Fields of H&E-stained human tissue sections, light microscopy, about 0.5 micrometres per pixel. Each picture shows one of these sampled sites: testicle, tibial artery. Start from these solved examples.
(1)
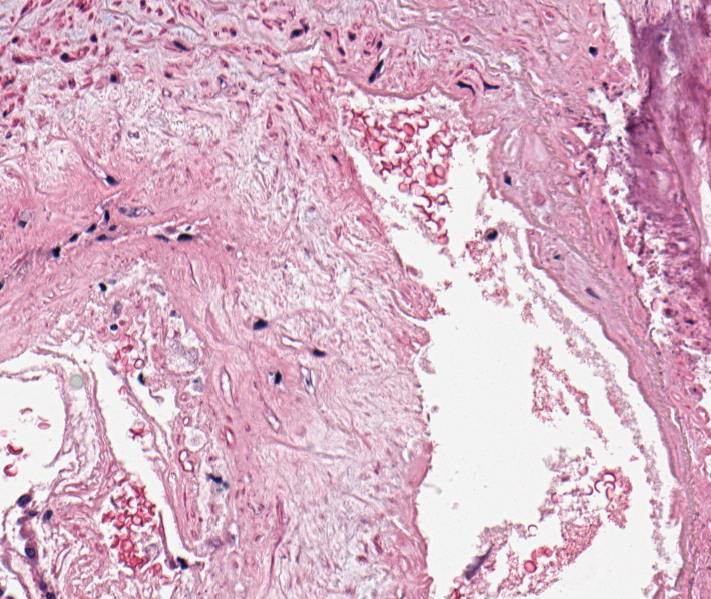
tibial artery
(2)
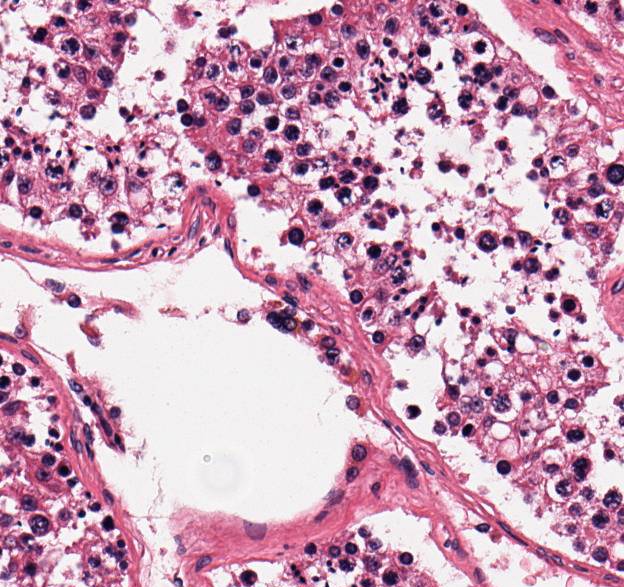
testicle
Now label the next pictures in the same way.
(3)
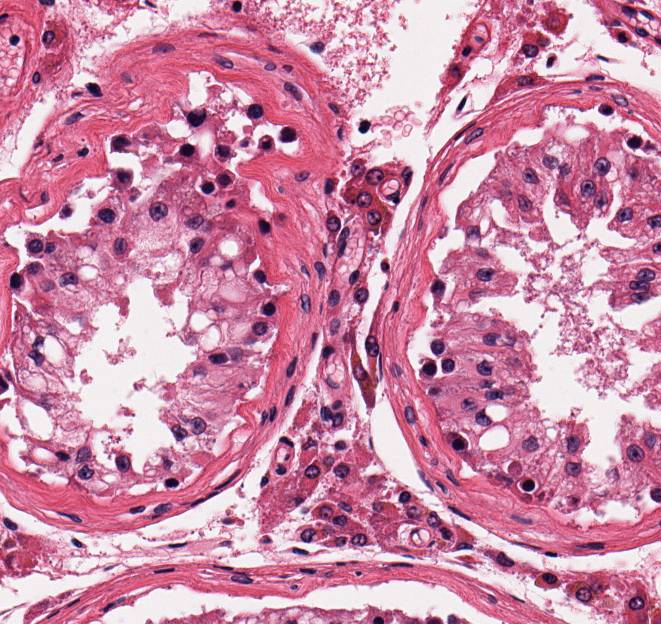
testicle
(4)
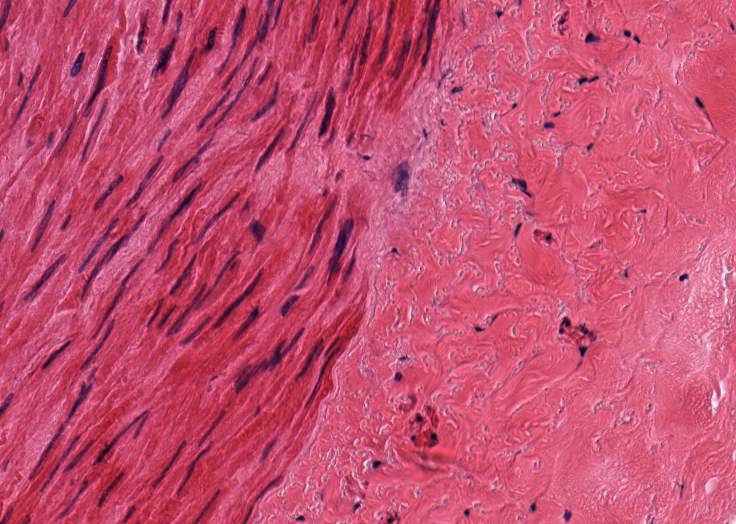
tibial artery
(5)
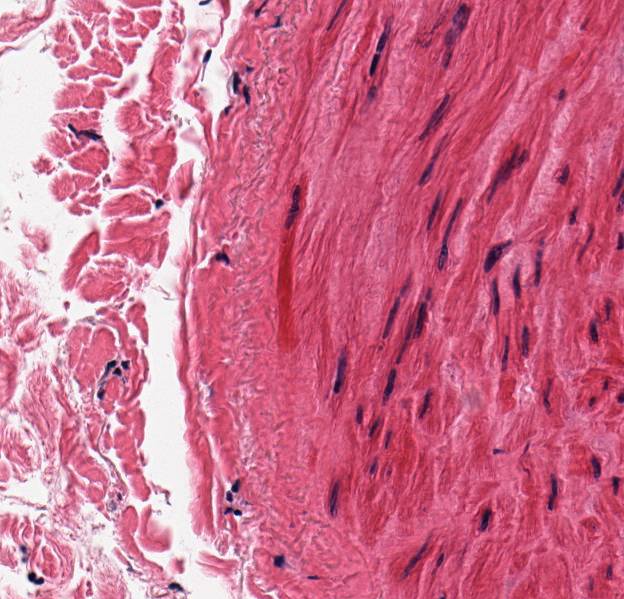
tibial artery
